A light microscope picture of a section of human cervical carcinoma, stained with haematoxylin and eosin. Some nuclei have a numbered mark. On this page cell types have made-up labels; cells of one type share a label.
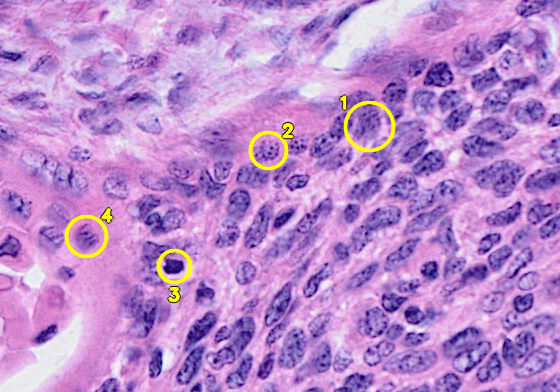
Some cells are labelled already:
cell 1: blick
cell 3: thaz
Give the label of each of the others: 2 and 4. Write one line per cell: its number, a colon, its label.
2: blick
4: blick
